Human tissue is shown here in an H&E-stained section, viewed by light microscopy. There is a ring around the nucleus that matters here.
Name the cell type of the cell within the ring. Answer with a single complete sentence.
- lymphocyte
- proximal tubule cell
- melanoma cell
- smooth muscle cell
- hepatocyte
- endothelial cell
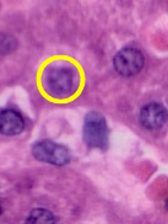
The cell meant here is a hepatocyte.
